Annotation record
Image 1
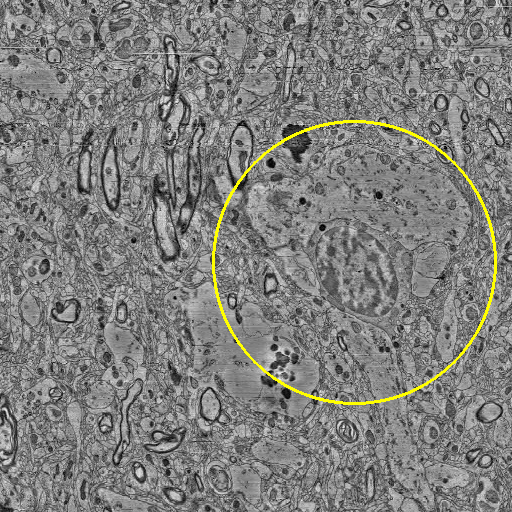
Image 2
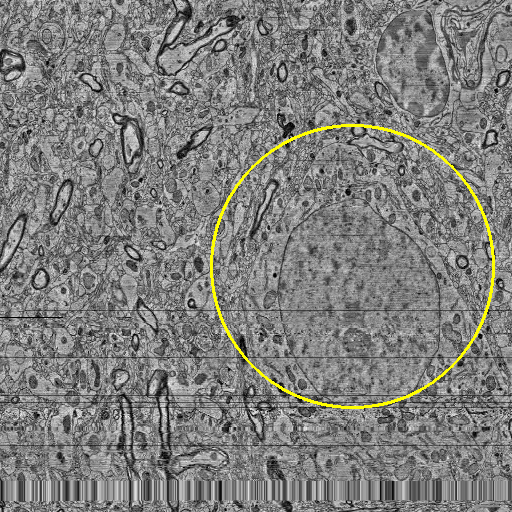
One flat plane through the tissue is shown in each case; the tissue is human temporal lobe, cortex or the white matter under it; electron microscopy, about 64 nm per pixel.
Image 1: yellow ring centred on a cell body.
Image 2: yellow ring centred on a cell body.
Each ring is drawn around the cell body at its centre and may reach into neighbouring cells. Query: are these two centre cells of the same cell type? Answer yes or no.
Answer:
no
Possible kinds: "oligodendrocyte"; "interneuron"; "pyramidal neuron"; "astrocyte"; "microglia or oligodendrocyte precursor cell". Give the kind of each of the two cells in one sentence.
The cell in the second picture is an interneuron, and that in the first is an oligodendrocyte.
